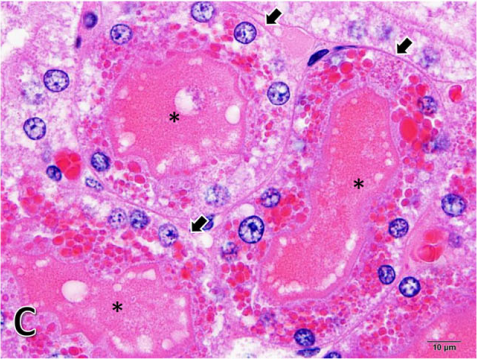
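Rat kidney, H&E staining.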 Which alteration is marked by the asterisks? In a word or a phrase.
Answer: Hyaline cast deposition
